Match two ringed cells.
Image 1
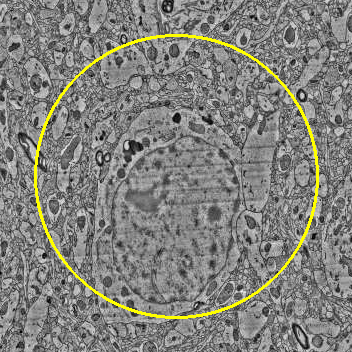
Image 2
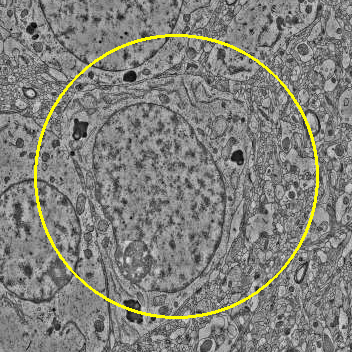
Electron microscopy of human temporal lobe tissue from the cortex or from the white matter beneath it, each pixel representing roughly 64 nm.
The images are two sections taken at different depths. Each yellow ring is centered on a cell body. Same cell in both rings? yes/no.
no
